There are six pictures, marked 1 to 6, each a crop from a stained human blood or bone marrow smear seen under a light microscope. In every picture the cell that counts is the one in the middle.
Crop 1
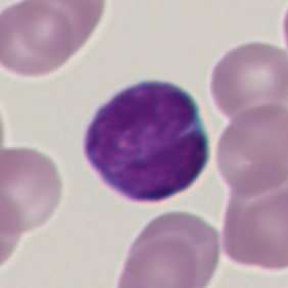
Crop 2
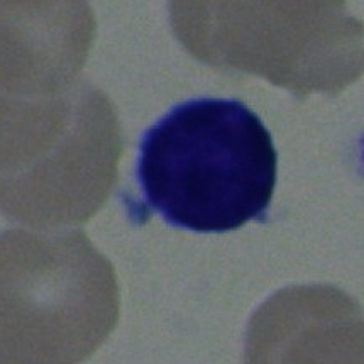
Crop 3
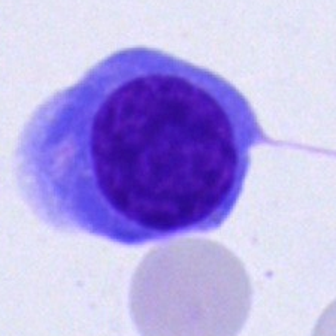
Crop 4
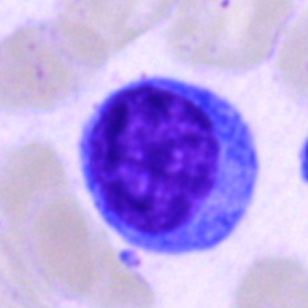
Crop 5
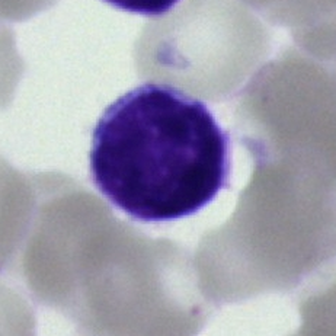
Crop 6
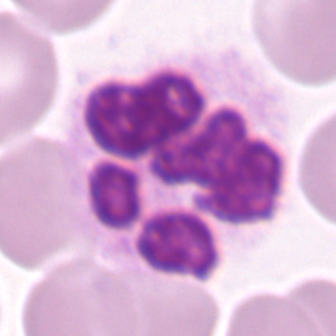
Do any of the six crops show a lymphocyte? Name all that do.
1, 2, 4, 5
